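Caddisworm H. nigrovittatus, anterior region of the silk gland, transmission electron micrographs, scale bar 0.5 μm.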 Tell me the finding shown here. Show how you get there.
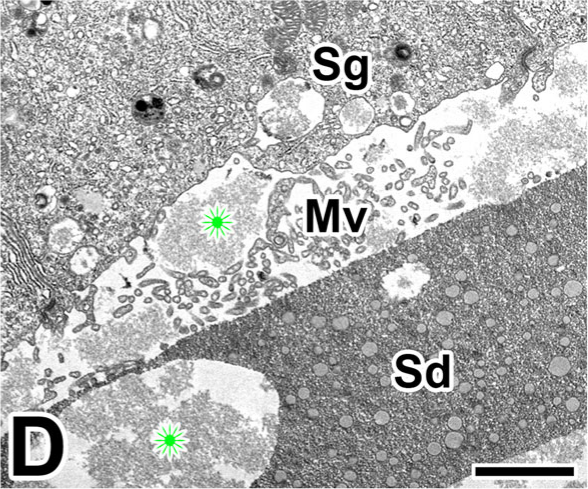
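Granules with fine fibrous content lie in the apical cytoplasm and among the microvilli. Similar fibrous material lies free in the lumen beyond the apical membrane. The apical cytoplasm is not pinched off into the lumen. On this evidence: merocrine secretion.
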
